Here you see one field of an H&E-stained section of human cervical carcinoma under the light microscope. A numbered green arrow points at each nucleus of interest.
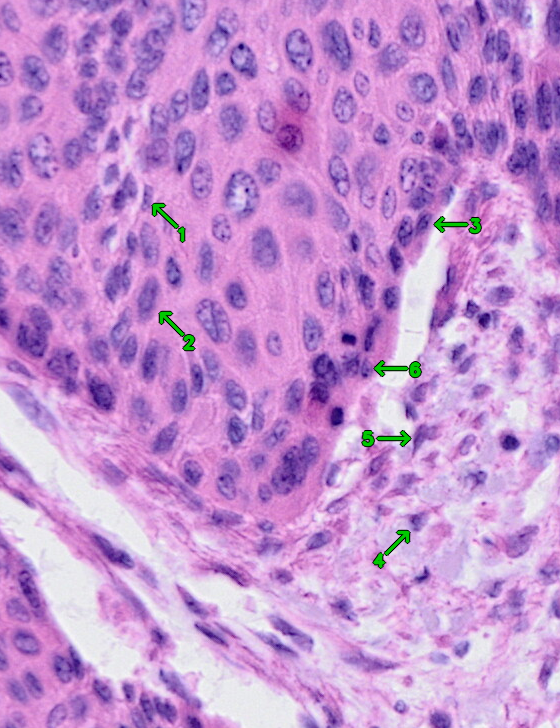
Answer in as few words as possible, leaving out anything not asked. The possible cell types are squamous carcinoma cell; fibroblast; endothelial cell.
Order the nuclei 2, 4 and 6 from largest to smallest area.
2, 4, 6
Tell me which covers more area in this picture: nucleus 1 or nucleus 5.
5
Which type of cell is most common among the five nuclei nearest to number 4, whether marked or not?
fibroblast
